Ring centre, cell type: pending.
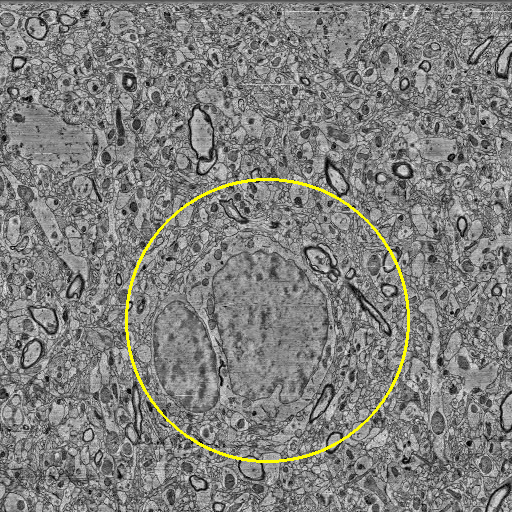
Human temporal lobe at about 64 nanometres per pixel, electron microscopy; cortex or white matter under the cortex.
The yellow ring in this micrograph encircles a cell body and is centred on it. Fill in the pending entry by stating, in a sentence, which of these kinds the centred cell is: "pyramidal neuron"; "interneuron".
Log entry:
The centred cell is recorded as an interneuron.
